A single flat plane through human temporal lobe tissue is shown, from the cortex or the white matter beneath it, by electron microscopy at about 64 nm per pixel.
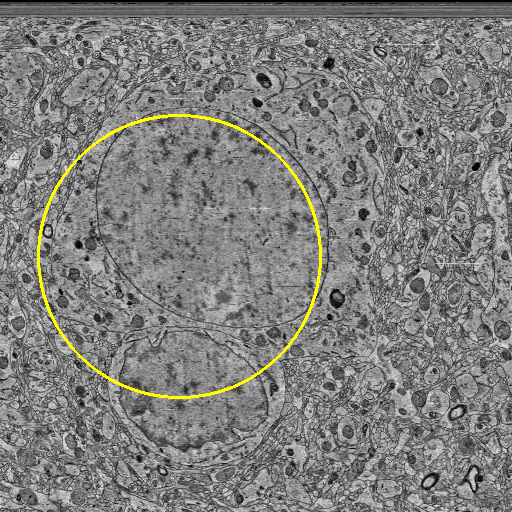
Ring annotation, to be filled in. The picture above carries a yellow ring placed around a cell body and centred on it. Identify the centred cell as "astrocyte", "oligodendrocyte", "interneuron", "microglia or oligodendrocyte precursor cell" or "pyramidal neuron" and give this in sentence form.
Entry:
The cell in the middle of the ring is a pyramidal neuron.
